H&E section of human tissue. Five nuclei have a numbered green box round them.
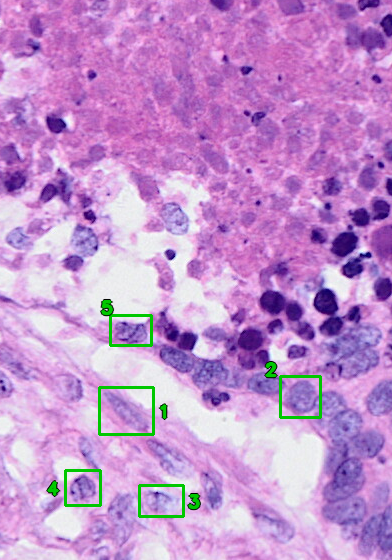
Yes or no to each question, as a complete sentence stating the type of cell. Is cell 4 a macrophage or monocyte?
Yes, within this section, cell number 4 is a macrophage or monocyte.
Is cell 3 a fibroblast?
Yes, the cell carrying label 3 is a fibroblast.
